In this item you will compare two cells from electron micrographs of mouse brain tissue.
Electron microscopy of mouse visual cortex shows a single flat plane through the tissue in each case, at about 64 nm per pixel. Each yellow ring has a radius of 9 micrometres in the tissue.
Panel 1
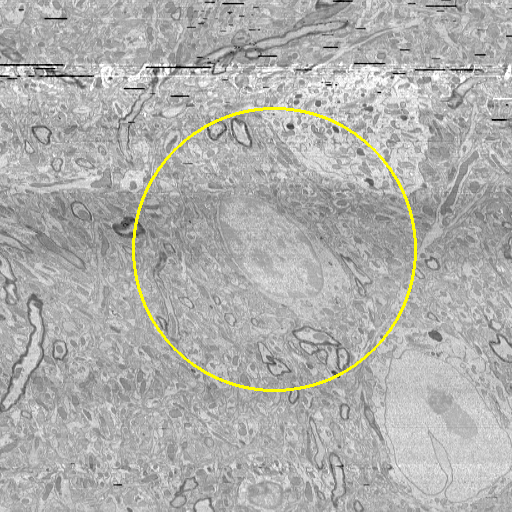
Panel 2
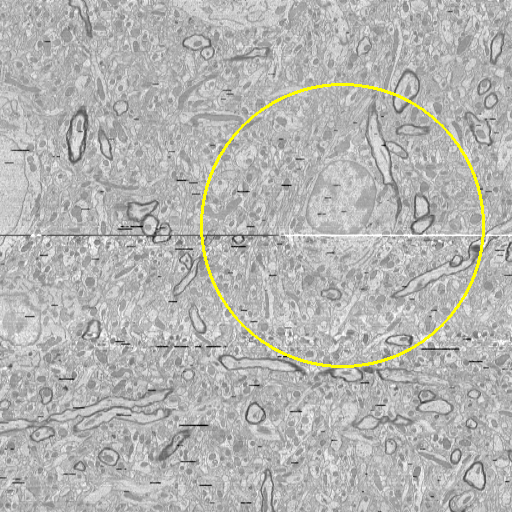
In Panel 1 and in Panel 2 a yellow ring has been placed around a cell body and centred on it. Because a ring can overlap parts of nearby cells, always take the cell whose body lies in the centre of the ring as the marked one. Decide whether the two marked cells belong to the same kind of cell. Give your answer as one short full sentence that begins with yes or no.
Yes, the two marked cells belong to the same kind of cell.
